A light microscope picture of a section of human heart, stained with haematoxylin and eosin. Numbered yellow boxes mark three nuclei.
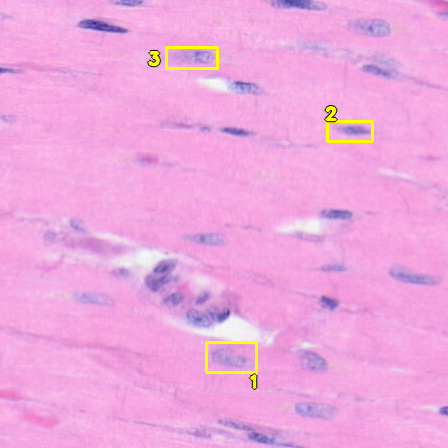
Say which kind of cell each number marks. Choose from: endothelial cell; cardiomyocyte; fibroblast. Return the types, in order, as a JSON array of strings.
["cardiomyocyte", "endothelial cell", "cardiomyocyte"]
